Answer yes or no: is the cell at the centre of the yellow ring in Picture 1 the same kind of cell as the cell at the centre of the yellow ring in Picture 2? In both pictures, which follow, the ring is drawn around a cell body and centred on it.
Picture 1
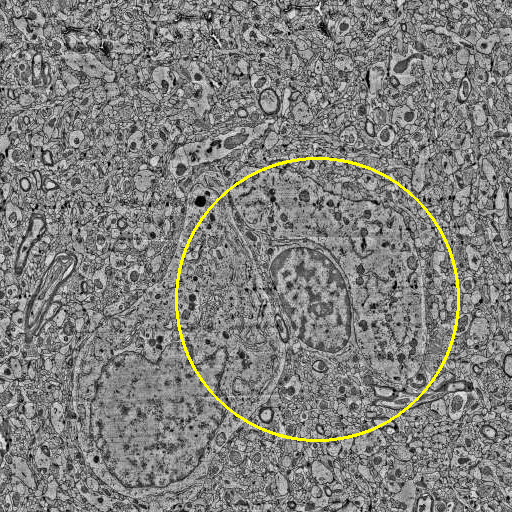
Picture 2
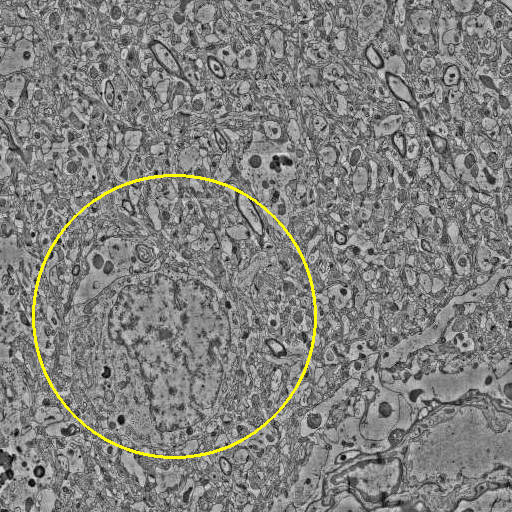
no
